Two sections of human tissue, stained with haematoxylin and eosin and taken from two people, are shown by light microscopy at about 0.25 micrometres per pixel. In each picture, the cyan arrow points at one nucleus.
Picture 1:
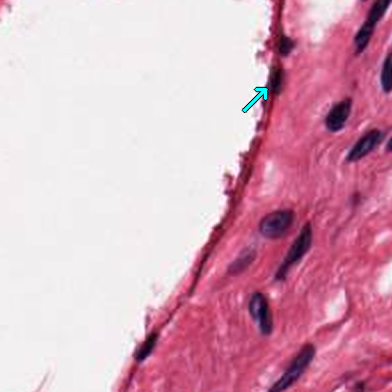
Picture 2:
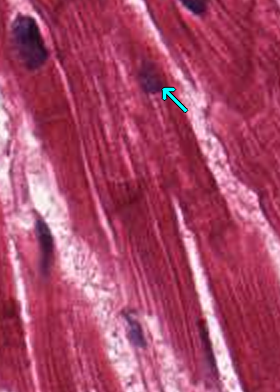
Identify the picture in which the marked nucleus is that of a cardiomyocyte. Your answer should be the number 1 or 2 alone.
2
